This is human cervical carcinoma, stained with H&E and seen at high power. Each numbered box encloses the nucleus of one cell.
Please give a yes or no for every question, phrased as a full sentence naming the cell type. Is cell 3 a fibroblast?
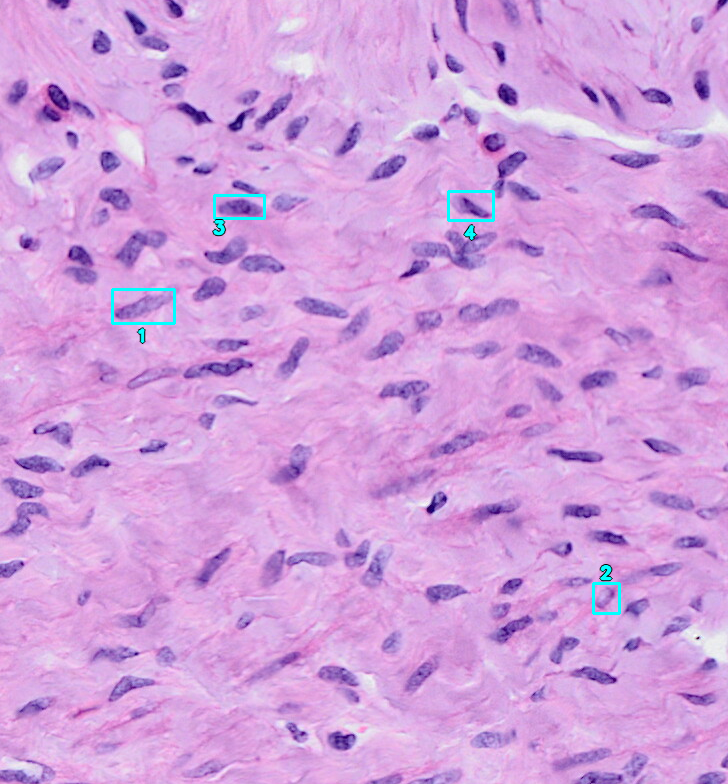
Yes, that is right: the cell labelled 3 is a fibroblast.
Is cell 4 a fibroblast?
Yes, the cell whose number is 4 is a fibroblast.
